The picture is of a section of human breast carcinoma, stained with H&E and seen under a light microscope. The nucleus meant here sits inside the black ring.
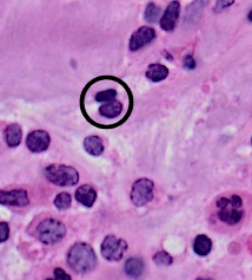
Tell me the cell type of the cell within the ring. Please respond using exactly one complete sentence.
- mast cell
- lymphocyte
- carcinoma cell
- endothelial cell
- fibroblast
It is as a lymphocyte that the cell within the ring is recorded.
